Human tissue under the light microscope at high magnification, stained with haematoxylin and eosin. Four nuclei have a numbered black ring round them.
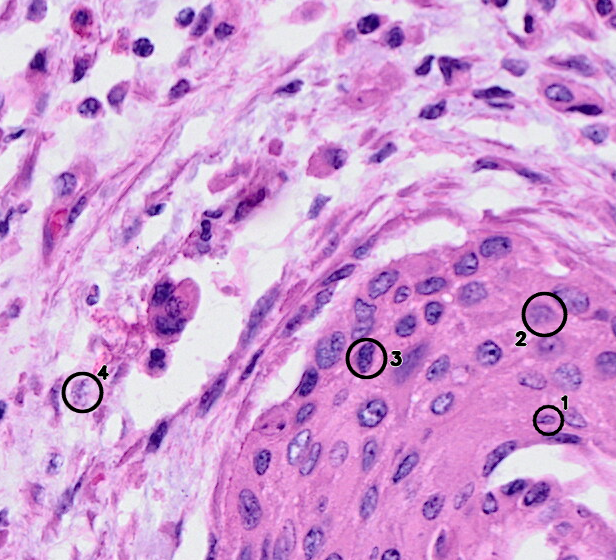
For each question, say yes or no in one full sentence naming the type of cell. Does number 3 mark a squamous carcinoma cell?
Yes, the cell denoted by 3 is a squamous carcinoma cell.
